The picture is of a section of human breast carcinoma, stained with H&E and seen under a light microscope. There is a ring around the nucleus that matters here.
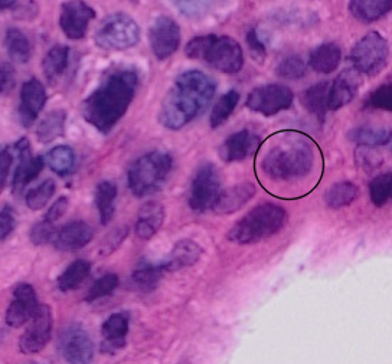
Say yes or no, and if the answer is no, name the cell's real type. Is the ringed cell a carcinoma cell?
Yes.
